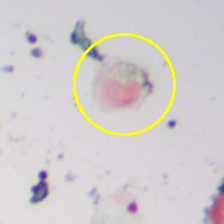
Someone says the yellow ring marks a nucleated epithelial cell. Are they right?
They are right: it is a nucleated epithelial cell.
